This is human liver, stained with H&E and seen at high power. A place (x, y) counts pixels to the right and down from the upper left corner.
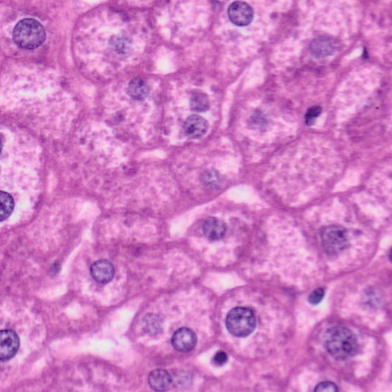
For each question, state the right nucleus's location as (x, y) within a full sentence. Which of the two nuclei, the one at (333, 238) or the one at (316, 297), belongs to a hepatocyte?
Of the two nuclei, the one sitting at (333, 238) belongs to a hepatocyte.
